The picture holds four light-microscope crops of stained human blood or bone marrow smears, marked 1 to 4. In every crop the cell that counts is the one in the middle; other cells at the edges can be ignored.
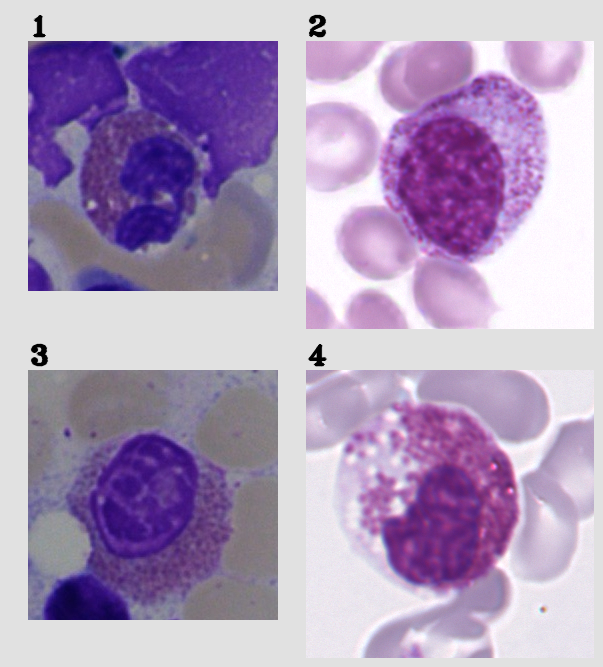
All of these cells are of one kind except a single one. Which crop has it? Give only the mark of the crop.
2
